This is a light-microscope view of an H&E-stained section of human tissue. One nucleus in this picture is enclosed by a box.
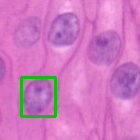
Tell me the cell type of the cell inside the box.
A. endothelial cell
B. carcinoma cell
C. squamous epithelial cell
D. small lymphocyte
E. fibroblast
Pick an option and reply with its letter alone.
C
